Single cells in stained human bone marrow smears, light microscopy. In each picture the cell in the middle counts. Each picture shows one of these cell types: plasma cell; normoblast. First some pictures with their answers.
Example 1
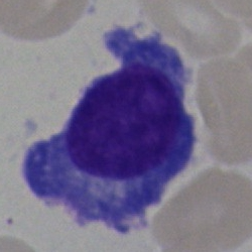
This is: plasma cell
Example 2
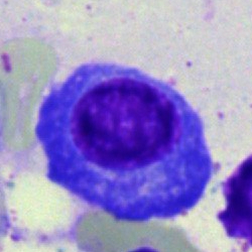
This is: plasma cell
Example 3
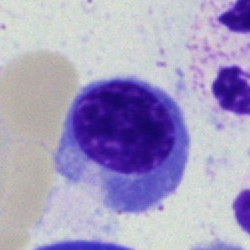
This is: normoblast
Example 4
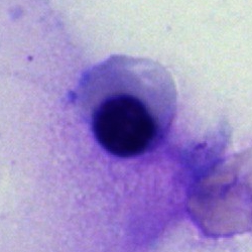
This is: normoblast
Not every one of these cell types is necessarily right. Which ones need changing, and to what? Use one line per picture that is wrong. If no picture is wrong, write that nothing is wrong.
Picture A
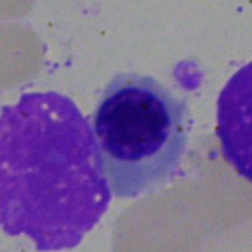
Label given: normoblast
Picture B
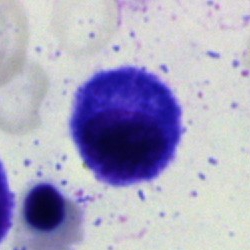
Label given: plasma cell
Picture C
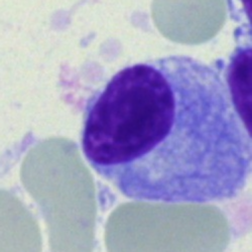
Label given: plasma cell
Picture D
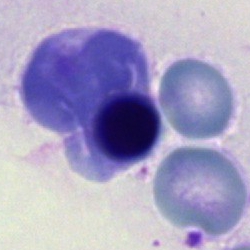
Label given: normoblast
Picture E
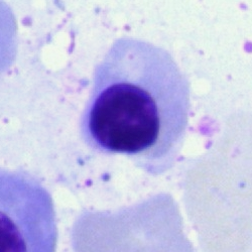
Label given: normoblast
Every label is right.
